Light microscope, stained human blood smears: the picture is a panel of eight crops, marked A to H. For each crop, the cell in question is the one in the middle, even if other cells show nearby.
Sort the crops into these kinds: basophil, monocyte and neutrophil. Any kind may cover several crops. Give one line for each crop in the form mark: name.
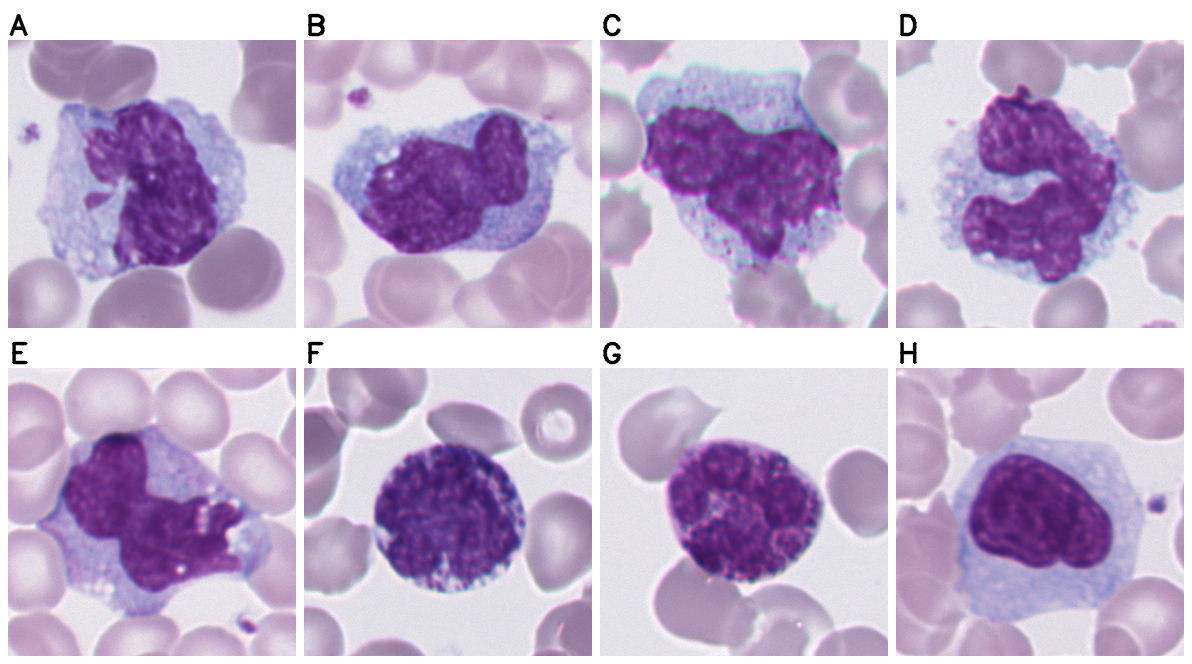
A: monocyte
B: monocyte
C: monocyte
D: monocyte
E: monocyte
F: basophil
G: basophil
H: monocyte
